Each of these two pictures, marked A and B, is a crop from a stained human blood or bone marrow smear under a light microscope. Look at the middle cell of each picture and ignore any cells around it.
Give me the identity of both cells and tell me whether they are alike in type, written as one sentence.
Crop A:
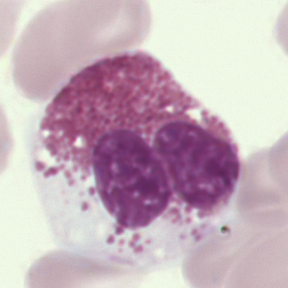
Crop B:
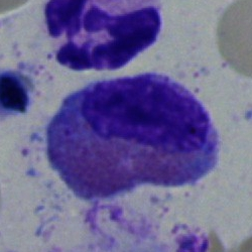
Yes, both crops show eosinophils, to put it briefly.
